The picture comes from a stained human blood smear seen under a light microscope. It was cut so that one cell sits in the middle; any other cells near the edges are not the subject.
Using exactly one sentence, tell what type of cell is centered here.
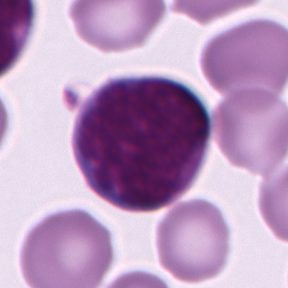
The cell at the middle of the crop is recognized as a myeloblast.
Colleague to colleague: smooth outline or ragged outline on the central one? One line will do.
The outline of this cell is not smooth but ragged or drawn out into projections.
